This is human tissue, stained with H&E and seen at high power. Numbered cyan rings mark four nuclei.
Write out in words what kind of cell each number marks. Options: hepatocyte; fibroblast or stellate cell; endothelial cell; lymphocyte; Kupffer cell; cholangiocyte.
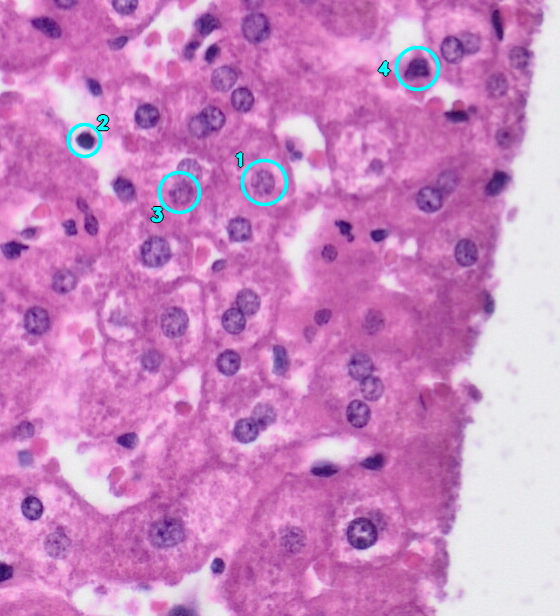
Cell 1 is a hepatocyte, cell 2 is a lymphocyte, cell 3 is a hepatocyte and cell 4 is a Kupffer cell.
